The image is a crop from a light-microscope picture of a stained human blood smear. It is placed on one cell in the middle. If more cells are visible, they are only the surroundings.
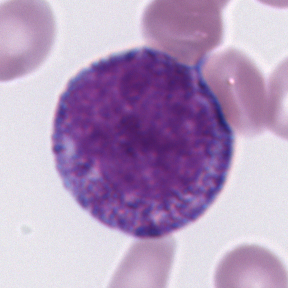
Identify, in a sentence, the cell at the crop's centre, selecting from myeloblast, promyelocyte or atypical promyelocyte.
For this crop, the cell in the middle is a promyelocyte.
